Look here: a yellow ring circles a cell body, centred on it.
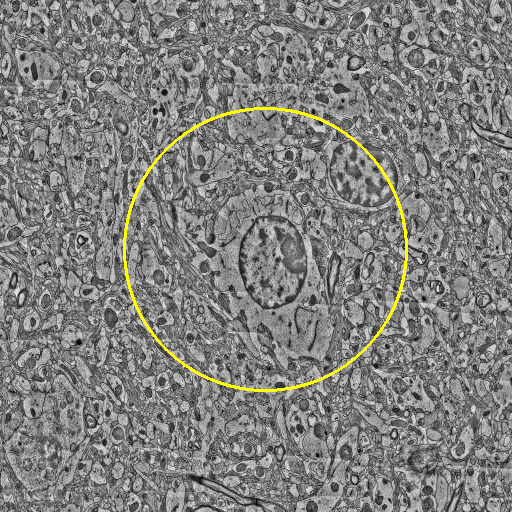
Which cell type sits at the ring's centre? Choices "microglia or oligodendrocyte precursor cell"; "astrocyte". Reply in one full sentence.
The cell at the centre of the yellow ring in the picture is an astrocyte.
